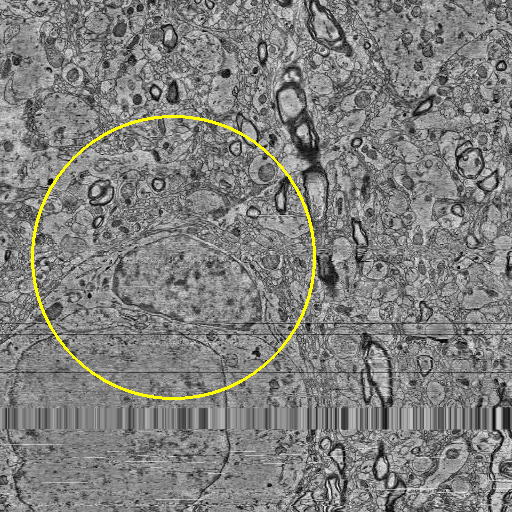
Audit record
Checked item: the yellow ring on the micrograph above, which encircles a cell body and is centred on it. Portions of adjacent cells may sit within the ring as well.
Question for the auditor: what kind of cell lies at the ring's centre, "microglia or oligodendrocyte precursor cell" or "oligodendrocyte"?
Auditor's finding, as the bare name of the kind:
microglia or oligodendrocyte precursor cell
